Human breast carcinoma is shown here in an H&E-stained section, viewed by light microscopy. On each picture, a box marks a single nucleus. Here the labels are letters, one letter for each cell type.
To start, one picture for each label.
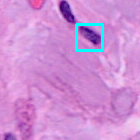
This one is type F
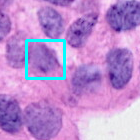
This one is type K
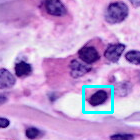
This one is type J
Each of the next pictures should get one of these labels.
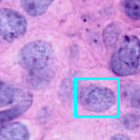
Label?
type K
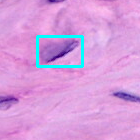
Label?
type F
